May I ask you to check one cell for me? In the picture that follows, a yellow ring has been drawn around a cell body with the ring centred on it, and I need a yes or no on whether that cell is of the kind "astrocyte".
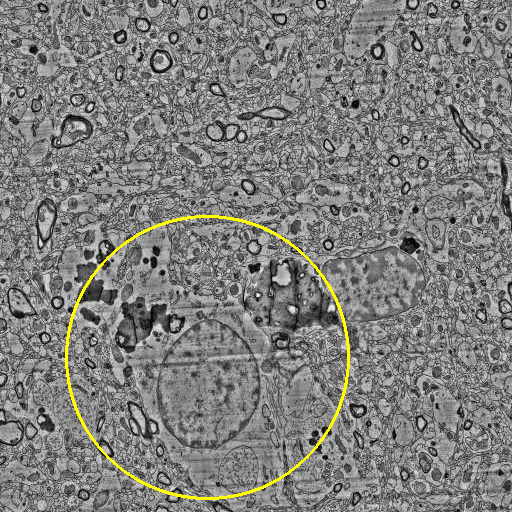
Yes, it is that kind of cell.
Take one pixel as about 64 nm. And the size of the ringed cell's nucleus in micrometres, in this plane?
Approximately 8 x 7 micrometres in this plane.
